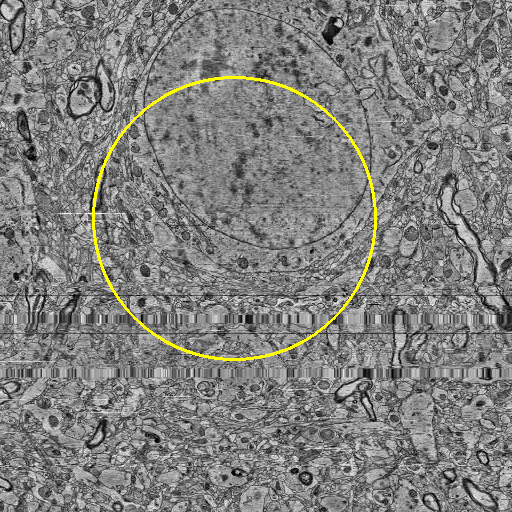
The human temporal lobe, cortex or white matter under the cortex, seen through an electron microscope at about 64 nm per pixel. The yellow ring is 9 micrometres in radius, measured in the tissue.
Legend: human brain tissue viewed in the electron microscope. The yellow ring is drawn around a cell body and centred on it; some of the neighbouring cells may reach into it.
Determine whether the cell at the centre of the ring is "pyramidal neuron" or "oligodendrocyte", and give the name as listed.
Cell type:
pyramidal neuron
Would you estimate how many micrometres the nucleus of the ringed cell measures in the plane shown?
Approximately 17 x 14 micrometres in this plane.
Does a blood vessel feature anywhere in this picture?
No, none is visible.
